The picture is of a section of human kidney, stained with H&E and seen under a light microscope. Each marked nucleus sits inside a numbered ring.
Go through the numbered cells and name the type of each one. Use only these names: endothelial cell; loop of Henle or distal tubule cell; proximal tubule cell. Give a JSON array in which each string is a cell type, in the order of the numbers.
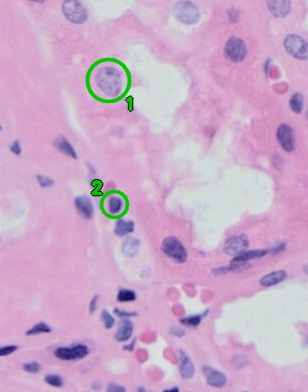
["proximal tubule cell", "endothelial cell"]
